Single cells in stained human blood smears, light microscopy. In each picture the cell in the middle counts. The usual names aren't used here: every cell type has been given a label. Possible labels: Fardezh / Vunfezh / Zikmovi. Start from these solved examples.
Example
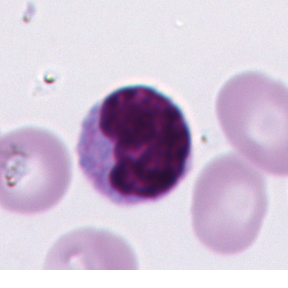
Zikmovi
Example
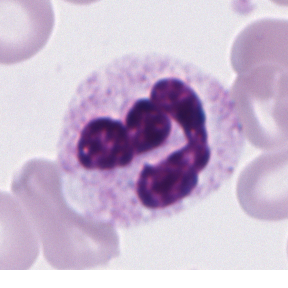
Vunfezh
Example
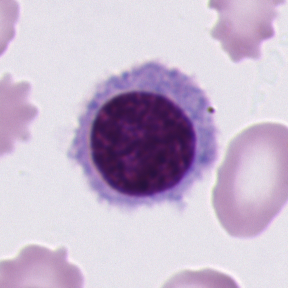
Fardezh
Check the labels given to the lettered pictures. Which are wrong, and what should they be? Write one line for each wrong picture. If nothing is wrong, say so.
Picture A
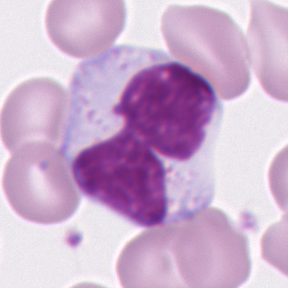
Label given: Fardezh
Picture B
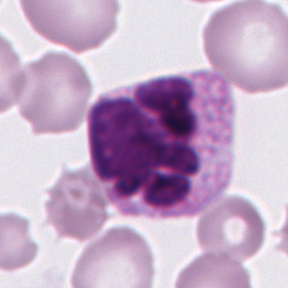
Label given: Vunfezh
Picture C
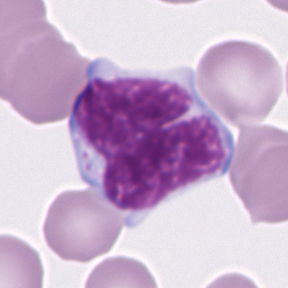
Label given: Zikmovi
A is labelled Fardezh; correct label: Zikmovi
